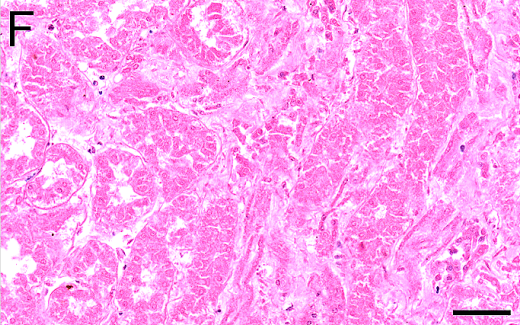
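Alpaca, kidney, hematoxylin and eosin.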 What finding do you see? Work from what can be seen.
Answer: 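Necrosis of tubular epithelial cells. Tubules are lined by uniformly pink, smudged epithelium. Almost no normal blue nuclei are visible in the tubular cells. Tubular outlines are preserved but cell borders are indistinct.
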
